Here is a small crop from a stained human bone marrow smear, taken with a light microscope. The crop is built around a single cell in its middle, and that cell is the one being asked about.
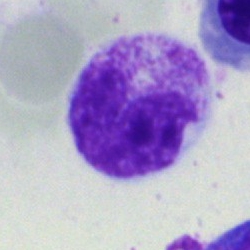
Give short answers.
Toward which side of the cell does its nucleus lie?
lower left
